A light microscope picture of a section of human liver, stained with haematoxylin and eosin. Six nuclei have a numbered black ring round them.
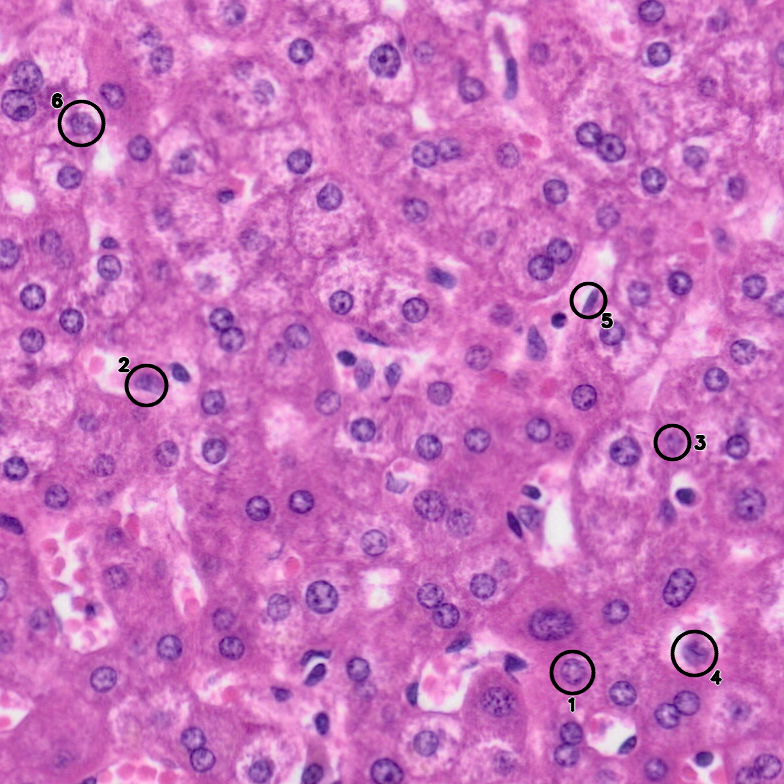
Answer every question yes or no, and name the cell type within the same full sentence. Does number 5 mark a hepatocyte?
No, it is an endothelial cell, not a hepatocyte, that number 5 marks.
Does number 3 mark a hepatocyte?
Yes, the cell whose nucleus carries number 3 is a hepatocyte.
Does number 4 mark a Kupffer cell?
Yes, that one, number 4, is a Kupffer cell.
